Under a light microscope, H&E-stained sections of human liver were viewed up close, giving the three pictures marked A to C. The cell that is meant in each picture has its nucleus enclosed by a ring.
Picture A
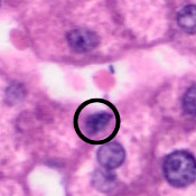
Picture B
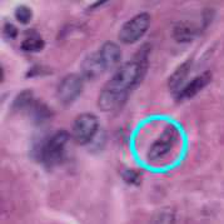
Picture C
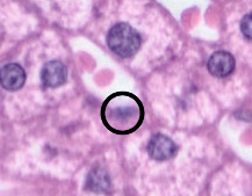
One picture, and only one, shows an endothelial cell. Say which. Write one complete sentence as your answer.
It is picture C that shows the endothelial cell.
